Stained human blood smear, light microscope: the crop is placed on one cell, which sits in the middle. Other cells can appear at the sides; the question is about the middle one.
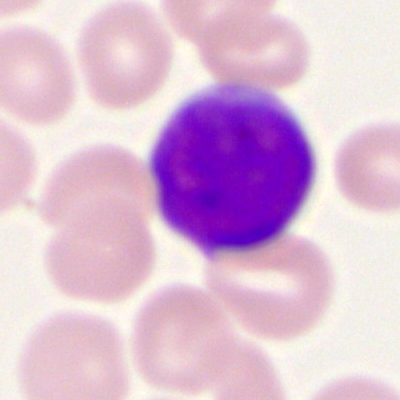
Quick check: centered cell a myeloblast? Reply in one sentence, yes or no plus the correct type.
Yes, the cell at the centre of this crop is identified as a myeloblast.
